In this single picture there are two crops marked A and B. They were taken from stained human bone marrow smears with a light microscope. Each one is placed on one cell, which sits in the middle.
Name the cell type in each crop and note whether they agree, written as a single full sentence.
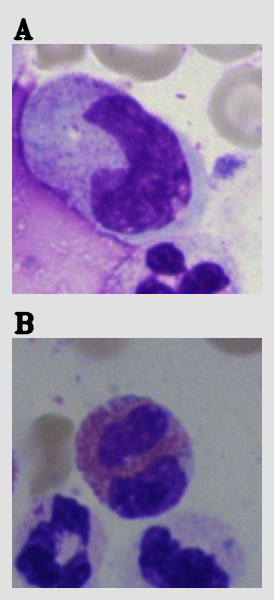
No, an eosinophil is the cell of crop B, while a band neutrophil is the cell of crop A.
